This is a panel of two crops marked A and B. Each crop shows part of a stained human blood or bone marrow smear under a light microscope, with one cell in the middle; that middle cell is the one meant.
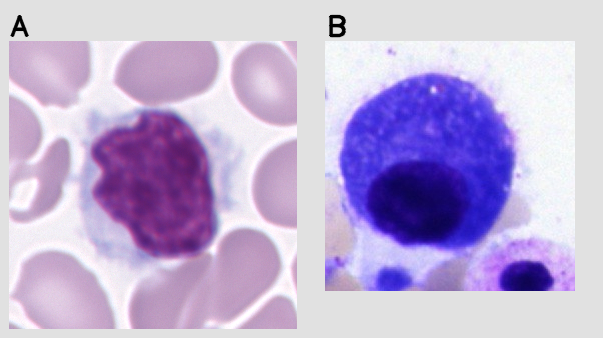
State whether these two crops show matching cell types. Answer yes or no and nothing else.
no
